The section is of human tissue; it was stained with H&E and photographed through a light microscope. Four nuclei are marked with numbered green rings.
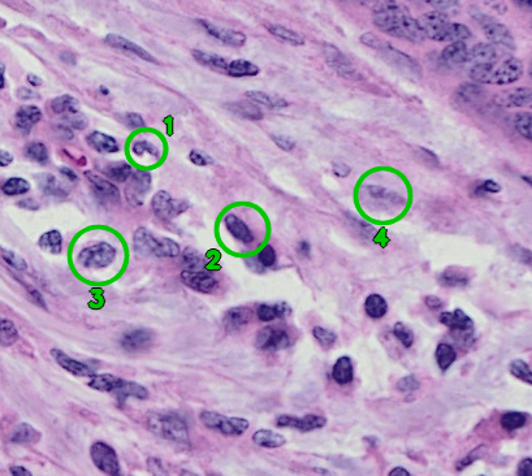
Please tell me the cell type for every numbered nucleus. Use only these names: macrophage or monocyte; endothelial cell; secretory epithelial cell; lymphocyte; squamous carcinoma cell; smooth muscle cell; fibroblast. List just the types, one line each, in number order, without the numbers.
lymphocyte
lymphocyte
lymphocyte
fibroblast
